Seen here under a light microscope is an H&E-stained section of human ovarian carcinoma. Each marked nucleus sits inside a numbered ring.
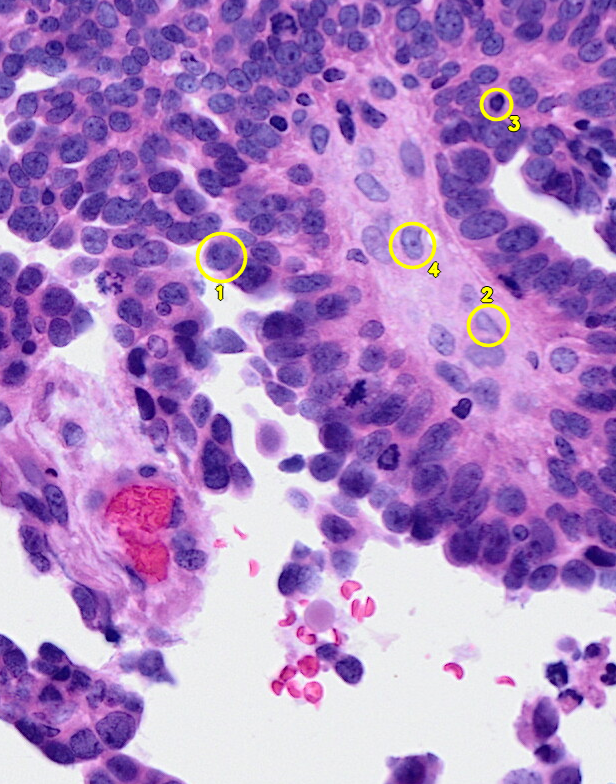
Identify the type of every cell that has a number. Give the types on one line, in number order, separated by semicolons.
carcinoma cell; fibroblast; lymphocyte; fibroblast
